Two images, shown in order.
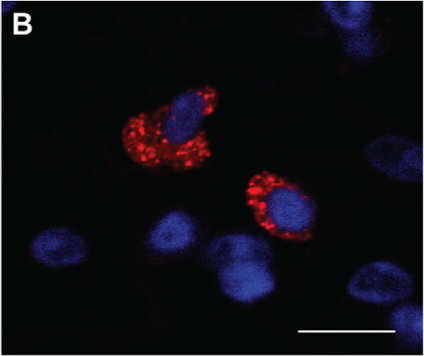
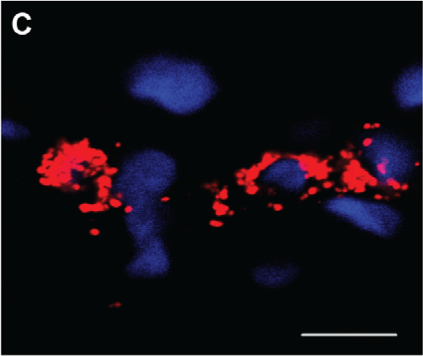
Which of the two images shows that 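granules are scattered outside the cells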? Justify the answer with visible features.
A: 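The second image. Second image: red granules form irregular clumps with loose dots spread away from the cells. First image: red granules are confined within round, compact cells.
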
